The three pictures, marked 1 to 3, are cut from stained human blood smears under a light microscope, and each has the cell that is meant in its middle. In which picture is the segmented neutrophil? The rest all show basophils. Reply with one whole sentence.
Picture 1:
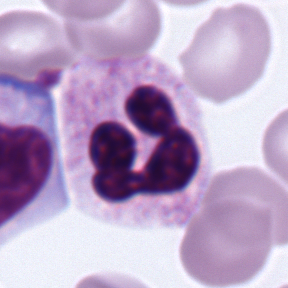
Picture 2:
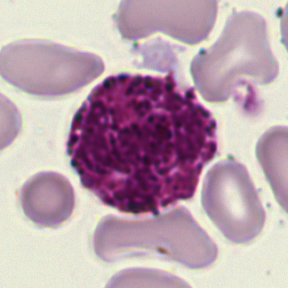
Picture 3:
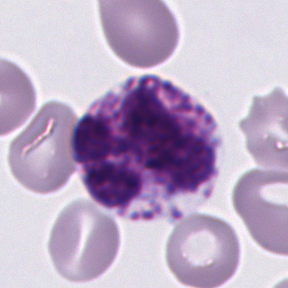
It is picture 1 that shows the segmented neutrophil.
